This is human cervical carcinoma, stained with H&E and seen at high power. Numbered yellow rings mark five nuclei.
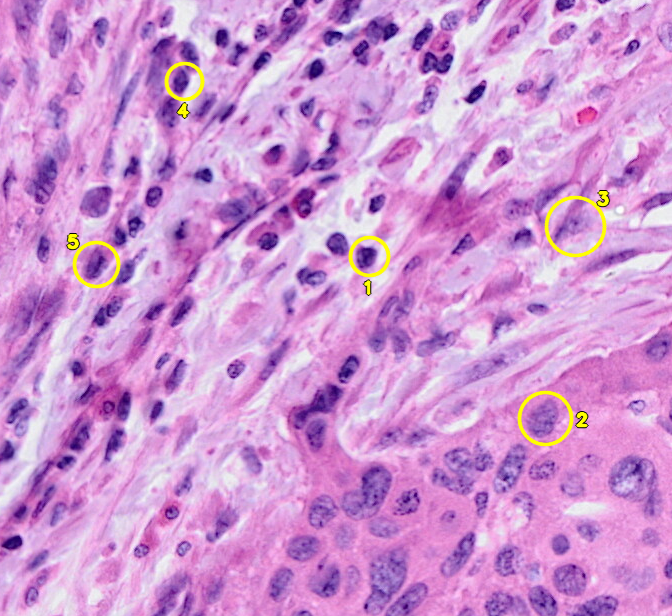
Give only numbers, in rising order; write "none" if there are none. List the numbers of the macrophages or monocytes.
5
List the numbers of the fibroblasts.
3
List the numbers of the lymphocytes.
1, 4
